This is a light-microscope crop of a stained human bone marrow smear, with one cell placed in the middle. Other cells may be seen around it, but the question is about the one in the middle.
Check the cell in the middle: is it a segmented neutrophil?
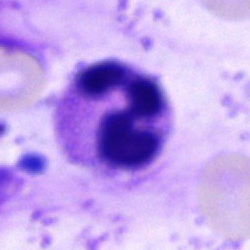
yes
